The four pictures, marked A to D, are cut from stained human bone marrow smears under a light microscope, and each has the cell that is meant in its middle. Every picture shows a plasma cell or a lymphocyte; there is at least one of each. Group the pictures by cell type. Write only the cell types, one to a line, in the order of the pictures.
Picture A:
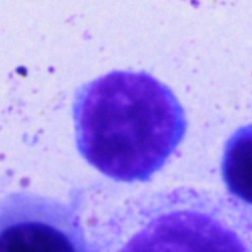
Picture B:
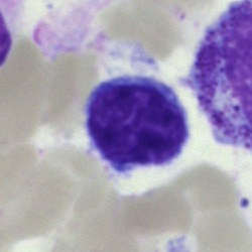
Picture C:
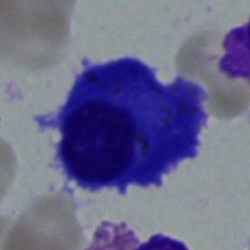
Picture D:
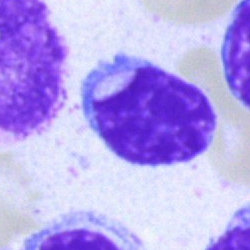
lymphocyte
lymphocyte
plasma cell
lymphocyte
